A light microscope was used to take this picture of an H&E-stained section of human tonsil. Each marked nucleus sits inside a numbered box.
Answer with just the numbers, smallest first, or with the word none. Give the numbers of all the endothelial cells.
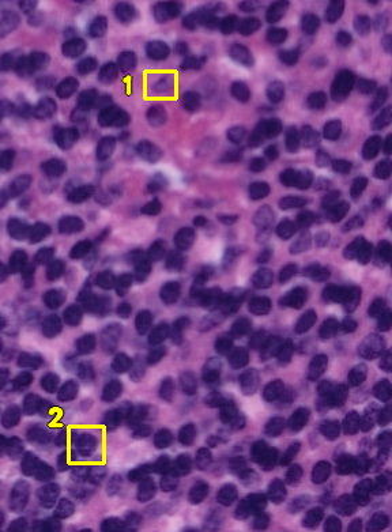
1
